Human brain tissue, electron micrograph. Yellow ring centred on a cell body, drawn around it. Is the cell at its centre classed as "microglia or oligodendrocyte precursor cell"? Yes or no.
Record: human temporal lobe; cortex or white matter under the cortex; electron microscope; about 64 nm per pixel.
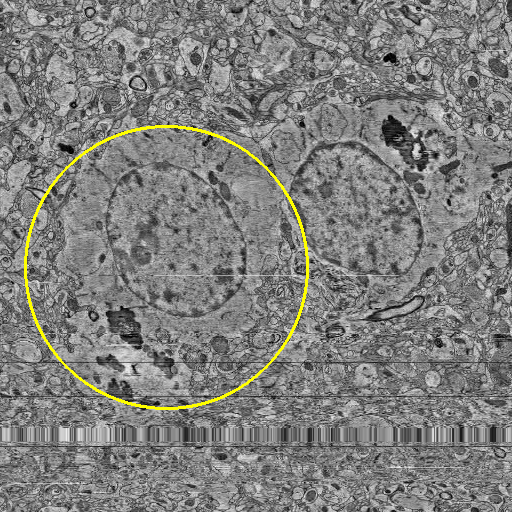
No, it is classed as another kind.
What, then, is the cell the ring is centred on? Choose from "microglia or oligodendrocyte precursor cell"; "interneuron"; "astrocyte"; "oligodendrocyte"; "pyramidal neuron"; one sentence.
The answer is that the ringed cell is an astrocyte.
